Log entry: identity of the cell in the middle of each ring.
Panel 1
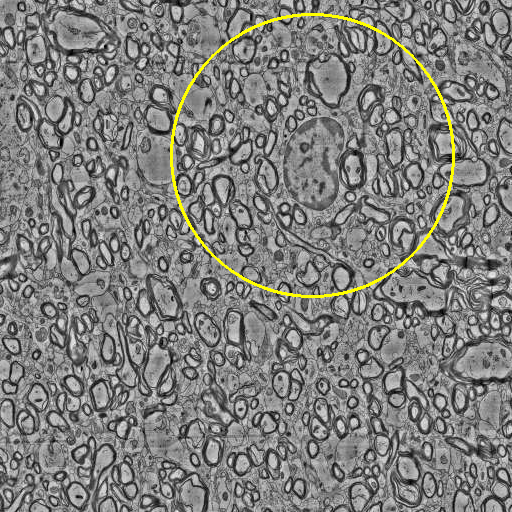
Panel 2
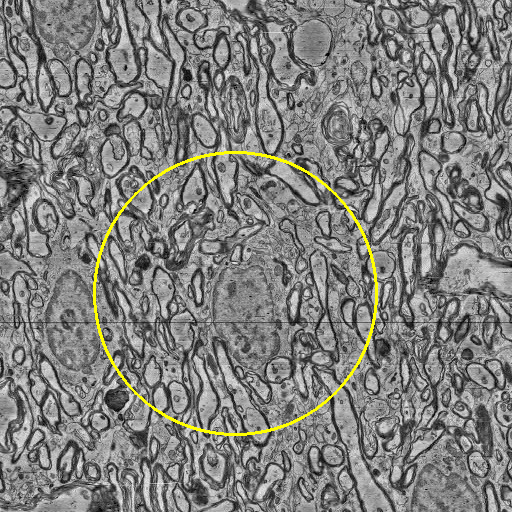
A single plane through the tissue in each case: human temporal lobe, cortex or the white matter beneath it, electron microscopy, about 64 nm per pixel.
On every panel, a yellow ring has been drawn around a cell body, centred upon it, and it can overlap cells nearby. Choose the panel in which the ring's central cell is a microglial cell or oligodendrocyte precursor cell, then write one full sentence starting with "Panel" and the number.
Panel 1 shows the requested cell sitting in the middle of its ring.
